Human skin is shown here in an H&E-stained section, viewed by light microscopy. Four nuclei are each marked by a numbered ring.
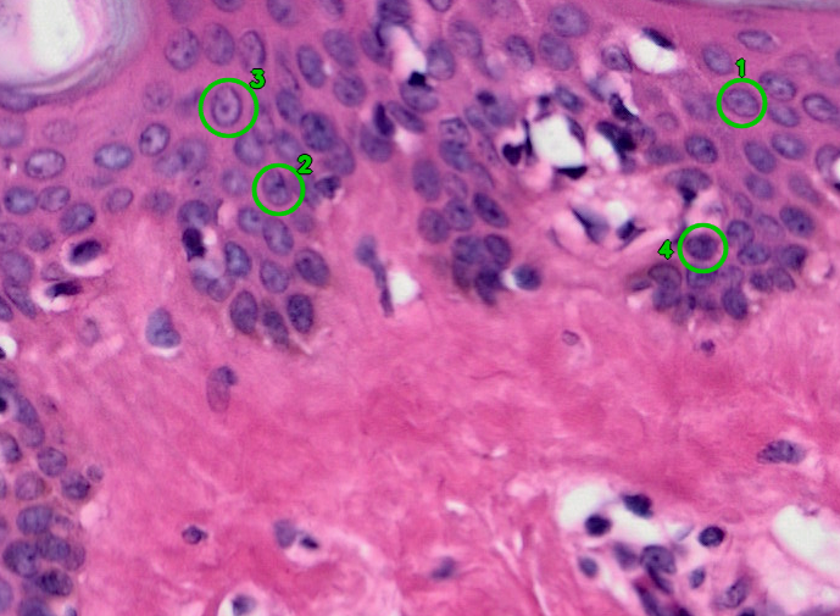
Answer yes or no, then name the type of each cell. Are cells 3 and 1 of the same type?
Yes, both are suprabasal keratinocytes.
